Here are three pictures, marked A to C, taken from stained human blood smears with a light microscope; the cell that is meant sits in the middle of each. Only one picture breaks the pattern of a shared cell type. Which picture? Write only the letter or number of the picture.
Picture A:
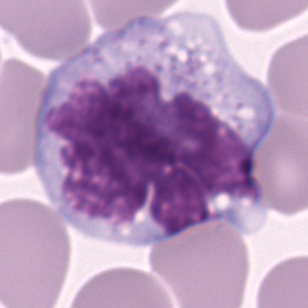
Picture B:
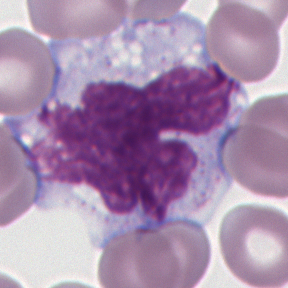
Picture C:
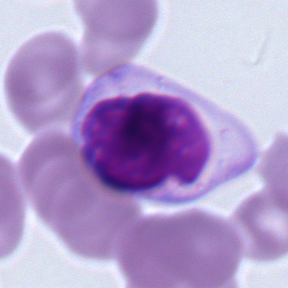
C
